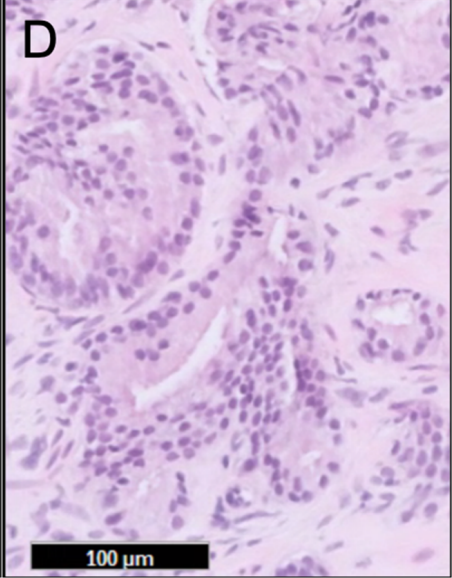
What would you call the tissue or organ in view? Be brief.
benign prostate glands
